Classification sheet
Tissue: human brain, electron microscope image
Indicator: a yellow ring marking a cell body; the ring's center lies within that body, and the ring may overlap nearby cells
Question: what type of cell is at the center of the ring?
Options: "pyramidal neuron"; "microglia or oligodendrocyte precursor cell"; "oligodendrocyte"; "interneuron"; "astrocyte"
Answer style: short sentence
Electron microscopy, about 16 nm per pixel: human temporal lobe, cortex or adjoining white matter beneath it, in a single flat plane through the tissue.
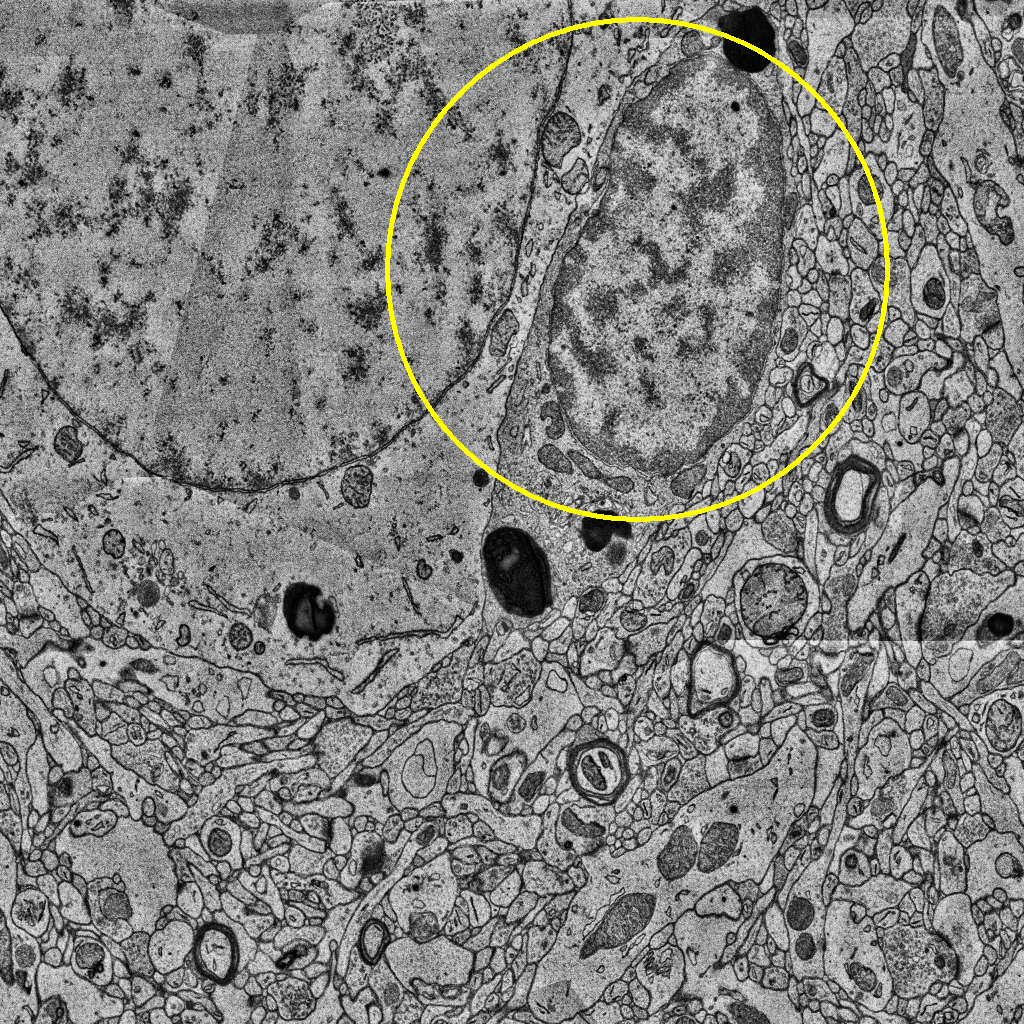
At the ring's center is an oligodendrocyte.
